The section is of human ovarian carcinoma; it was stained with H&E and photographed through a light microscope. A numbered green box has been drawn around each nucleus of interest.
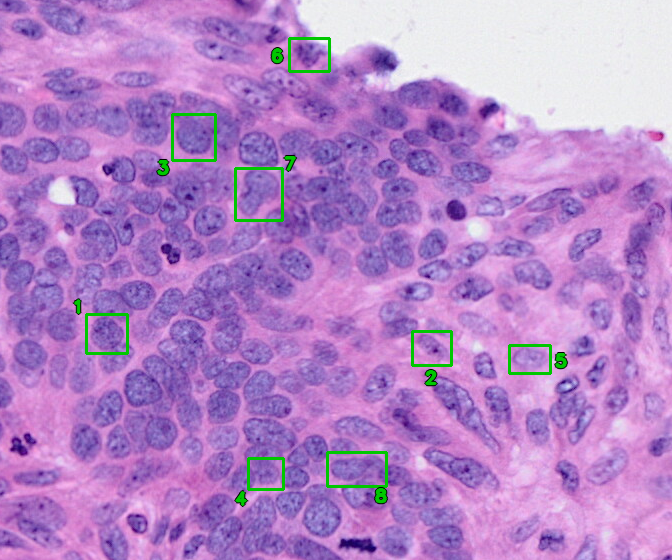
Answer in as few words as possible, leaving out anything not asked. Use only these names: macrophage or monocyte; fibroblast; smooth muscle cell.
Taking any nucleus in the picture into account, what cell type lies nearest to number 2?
fibroblast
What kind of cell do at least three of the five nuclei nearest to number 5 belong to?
fibroblast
